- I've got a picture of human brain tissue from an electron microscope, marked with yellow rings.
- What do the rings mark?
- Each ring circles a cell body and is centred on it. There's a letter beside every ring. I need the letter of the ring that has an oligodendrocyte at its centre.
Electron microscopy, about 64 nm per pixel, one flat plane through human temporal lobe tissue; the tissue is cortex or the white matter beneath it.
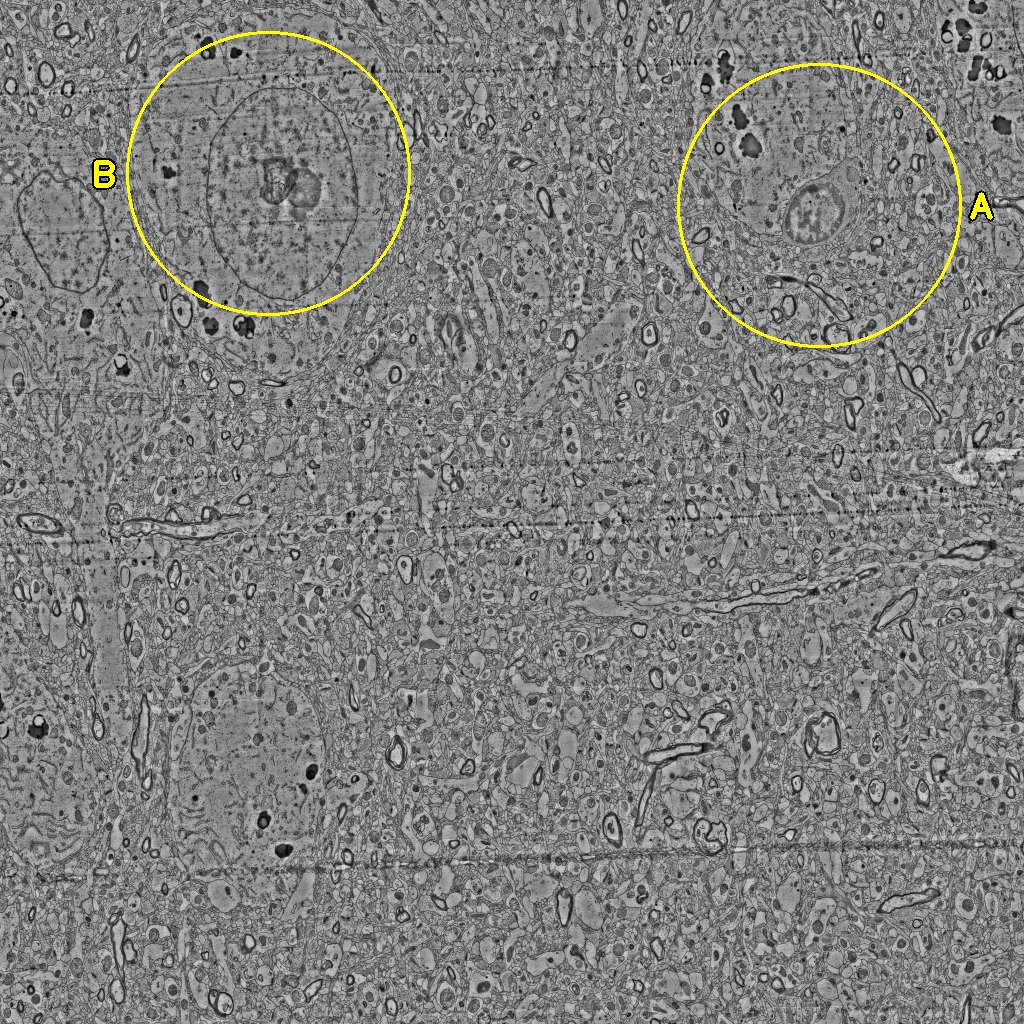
A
